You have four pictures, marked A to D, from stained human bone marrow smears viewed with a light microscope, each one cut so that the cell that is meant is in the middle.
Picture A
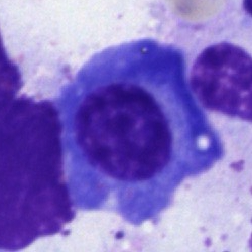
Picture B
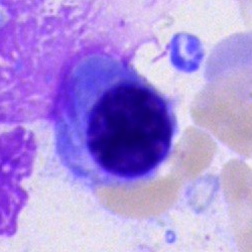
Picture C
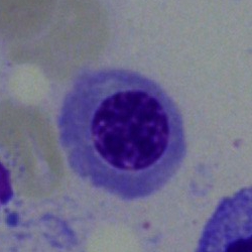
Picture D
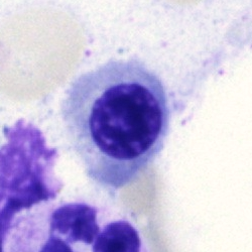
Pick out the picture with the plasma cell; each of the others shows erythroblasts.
A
